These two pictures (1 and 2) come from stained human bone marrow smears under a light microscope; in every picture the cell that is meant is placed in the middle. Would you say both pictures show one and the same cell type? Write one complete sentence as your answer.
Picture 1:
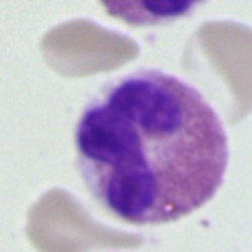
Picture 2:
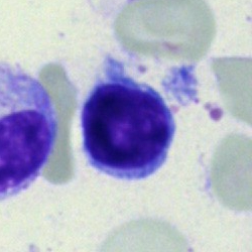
No, picture 1 shows an eosinophil and picture 2 shows a lymphocyte.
